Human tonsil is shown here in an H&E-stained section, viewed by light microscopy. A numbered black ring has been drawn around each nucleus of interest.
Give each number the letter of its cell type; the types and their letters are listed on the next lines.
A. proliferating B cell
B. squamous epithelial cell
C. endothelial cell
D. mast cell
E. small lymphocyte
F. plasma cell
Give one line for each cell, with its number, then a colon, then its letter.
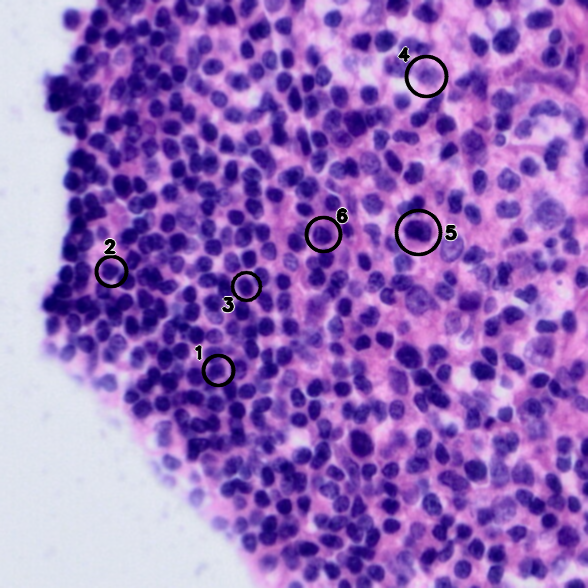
1: E
2: E
3: E
4: A
5: A
6: F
